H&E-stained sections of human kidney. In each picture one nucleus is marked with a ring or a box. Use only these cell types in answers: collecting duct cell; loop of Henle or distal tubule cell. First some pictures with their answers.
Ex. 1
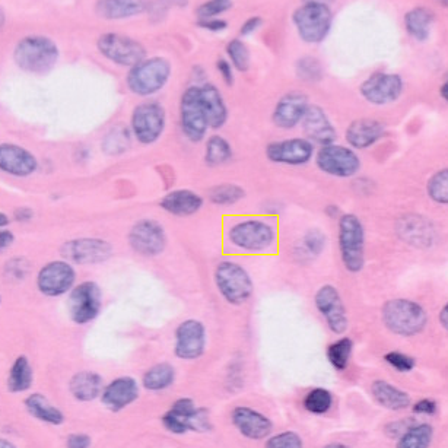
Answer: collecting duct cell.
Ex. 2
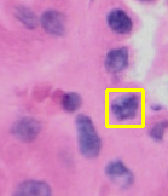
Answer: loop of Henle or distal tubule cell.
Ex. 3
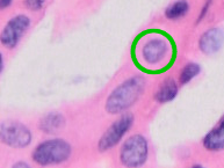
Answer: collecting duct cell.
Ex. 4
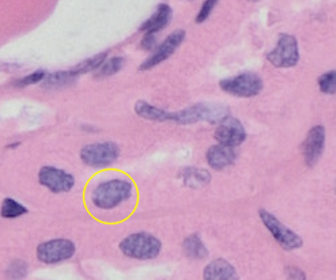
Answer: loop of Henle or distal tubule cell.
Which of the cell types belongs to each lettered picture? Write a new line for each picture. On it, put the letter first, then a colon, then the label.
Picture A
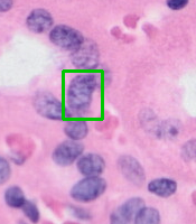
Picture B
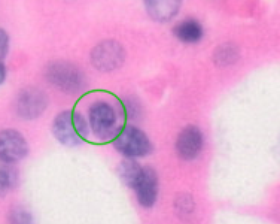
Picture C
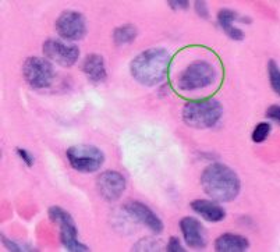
A: collecting duct cell.
B: collecting duct cell.
C: collecting duct cell.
